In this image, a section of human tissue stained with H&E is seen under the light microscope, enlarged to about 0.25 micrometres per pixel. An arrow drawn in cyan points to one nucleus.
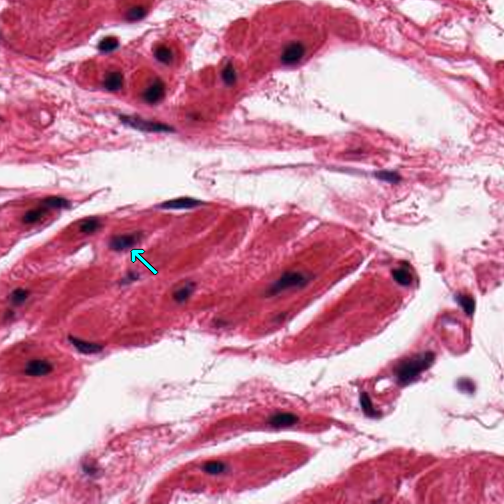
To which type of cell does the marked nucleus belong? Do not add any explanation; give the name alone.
smooth muscle cell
